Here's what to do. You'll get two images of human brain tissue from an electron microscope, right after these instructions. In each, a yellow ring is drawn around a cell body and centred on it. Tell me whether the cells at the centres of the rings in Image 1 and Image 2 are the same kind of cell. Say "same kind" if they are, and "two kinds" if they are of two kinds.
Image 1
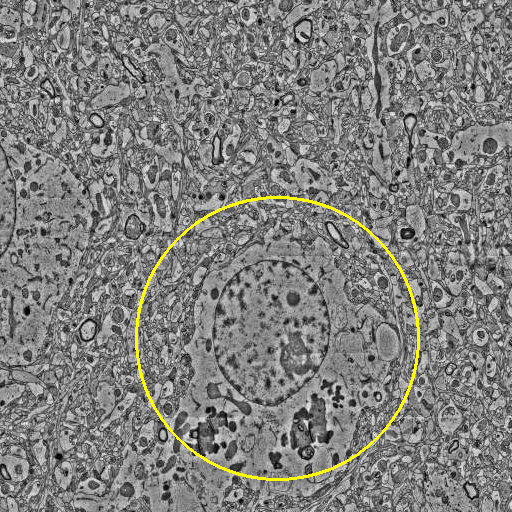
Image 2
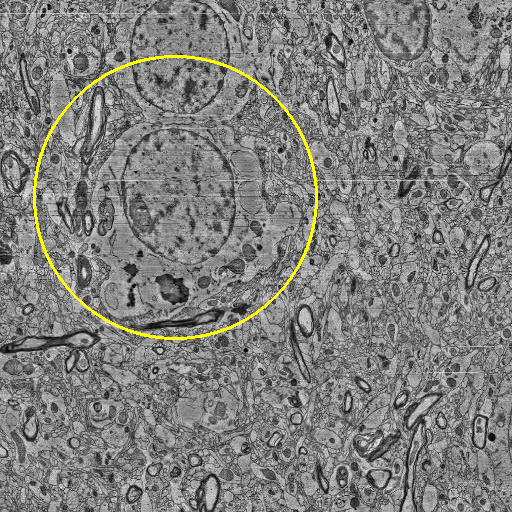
same kind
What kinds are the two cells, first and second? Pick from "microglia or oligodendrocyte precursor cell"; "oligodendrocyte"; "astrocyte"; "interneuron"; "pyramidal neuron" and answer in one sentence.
Each cell, in the first picture and the second, is an astrocyte.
